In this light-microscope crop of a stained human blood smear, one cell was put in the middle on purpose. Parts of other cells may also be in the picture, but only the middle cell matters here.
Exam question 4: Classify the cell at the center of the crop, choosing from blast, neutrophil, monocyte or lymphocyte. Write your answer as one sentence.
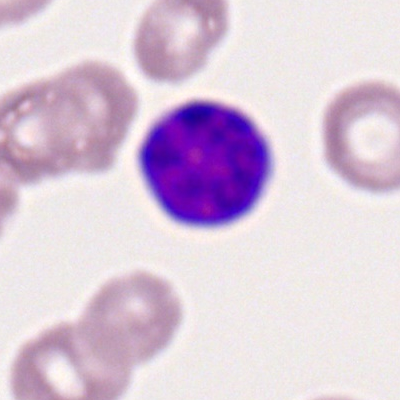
Looking at the middle of the crop, the cell there is a lymphocyte.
